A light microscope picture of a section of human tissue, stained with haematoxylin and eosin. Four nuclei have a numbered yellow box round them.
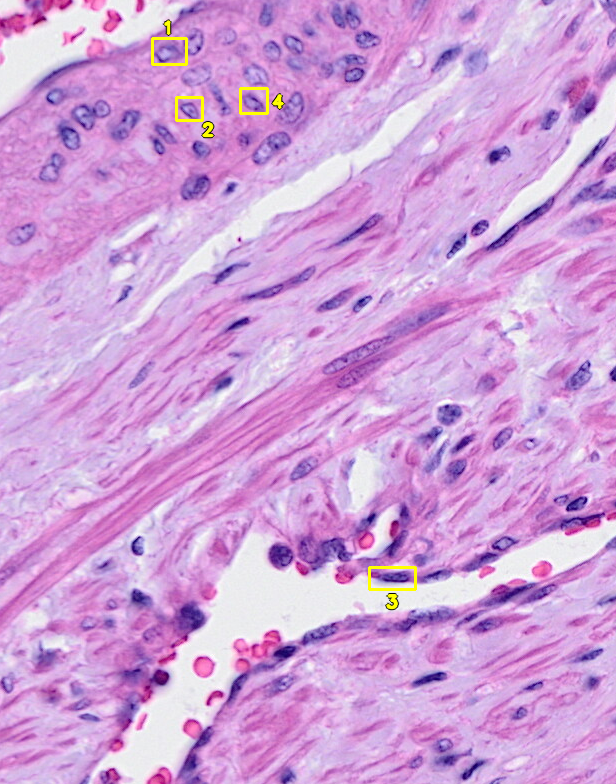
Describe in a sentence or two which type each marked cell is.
Cells 1, 2 and 4 are smooth muscle cells. Cell 3 is an endothelial cell.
